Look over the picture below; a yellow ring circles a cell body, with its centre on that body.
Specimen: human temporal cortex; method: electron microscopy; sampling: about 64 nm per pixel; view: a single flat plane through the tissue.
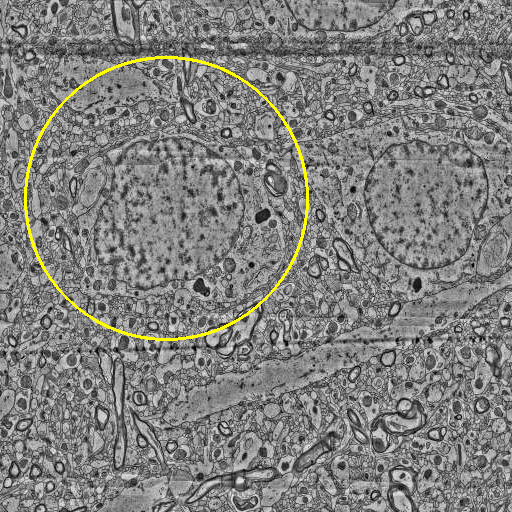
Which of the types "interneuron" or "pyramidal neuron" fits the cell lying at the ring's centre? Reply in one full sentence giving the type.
The picture shows an interneuron at the centre of the yellow ring.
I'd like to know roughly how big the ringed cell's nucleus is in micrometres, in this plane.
In this plane, approximately 10 micrometres across.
